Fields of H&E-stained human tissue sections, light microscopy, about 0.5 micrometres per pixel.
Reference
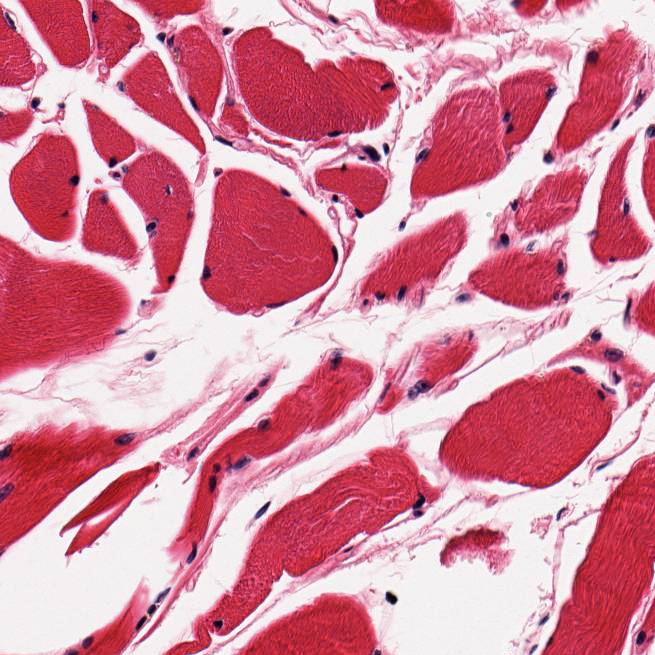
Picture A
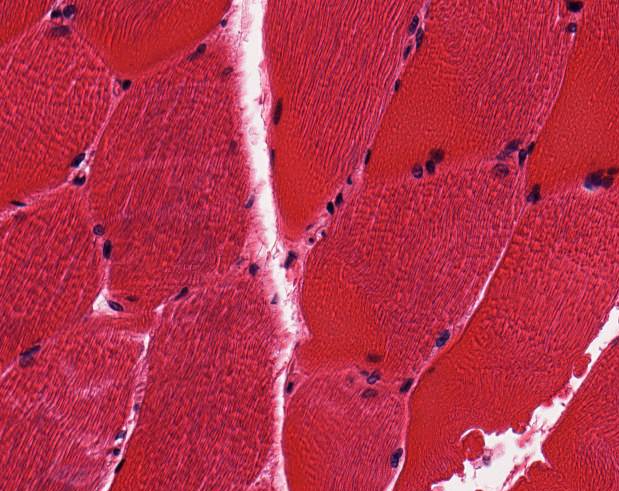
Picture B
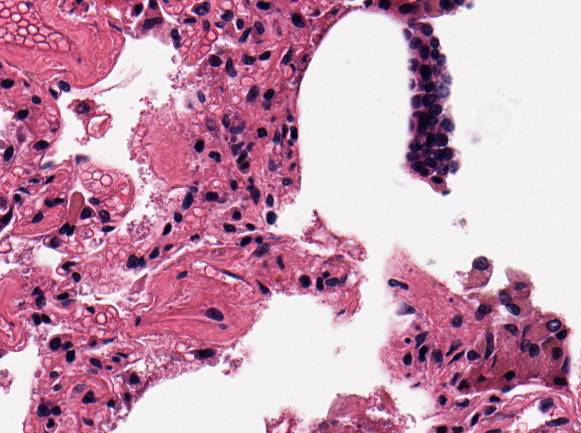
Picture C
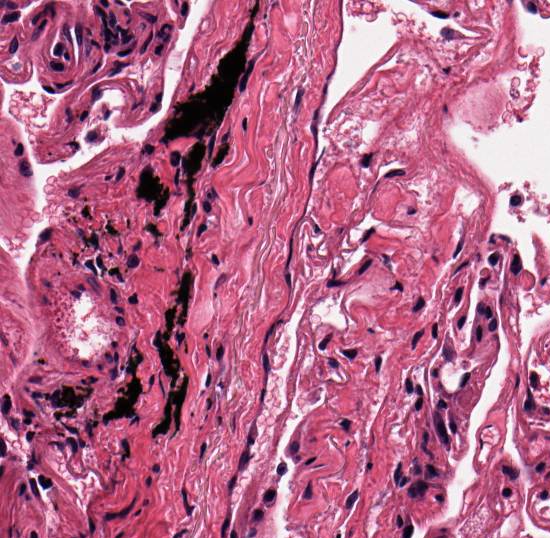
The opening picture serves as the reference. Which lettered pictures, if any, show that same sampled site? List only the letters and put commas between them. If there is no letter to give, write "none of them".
A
